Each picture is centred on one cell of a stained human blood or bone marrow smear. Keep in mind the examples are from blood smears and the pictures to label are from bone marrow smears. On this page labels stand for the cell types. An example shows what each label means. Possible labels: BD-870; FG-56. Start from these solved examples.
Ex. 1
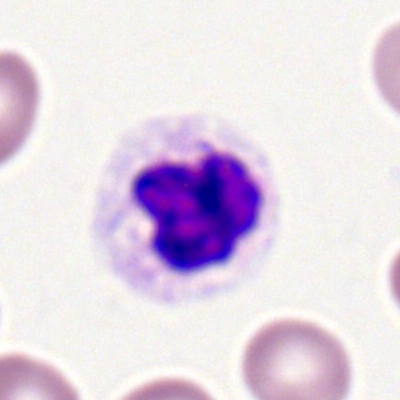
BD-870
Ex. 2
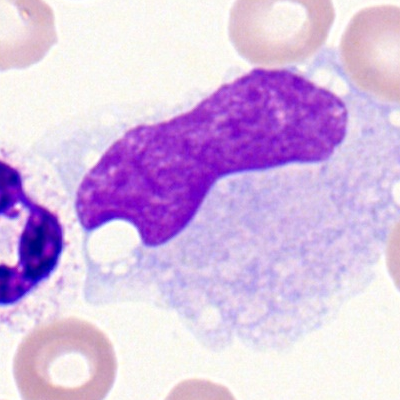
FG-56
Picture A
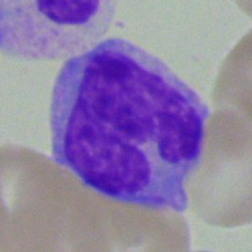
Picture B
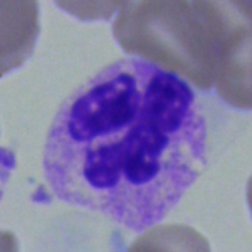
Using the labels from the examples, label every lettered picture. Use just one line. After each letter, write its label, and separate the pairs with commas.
A FG-56, B BD-870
